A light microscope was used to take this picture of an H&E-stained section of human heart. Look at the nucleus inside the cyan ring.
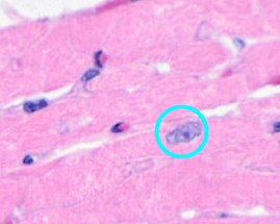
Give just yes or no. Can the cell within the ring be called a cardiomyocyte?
yes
